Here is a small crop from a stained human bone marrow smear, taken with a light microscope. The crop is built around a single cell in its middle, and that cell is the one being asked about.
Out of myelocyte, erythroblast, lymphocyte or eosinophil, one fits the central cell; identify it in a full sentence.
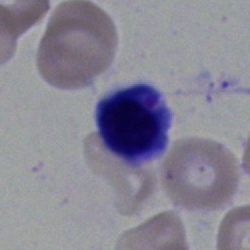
Of the cells in this crop, the central one is an erythroblast.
